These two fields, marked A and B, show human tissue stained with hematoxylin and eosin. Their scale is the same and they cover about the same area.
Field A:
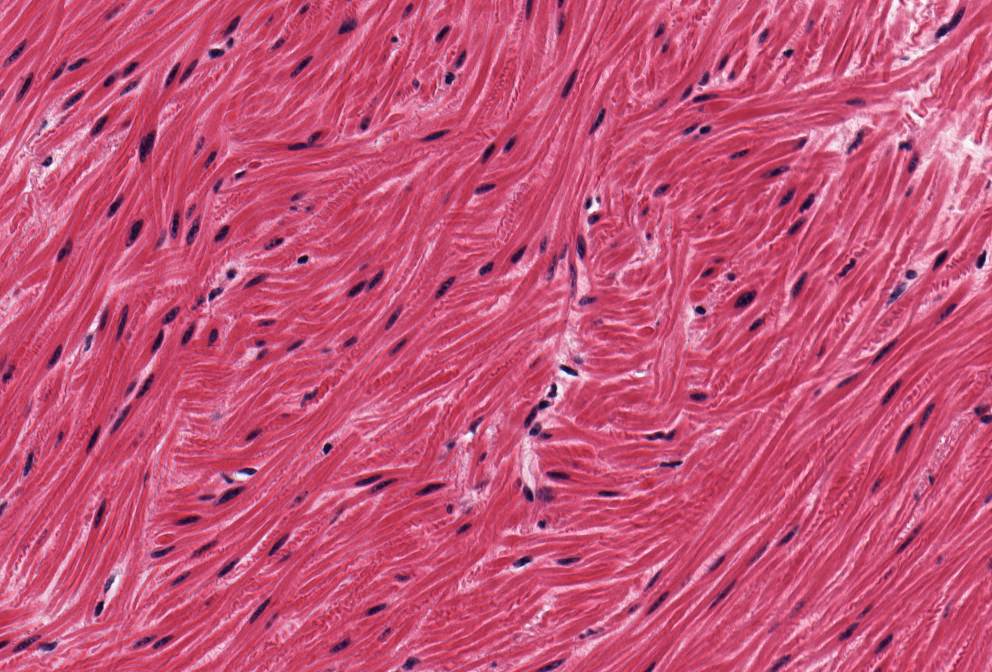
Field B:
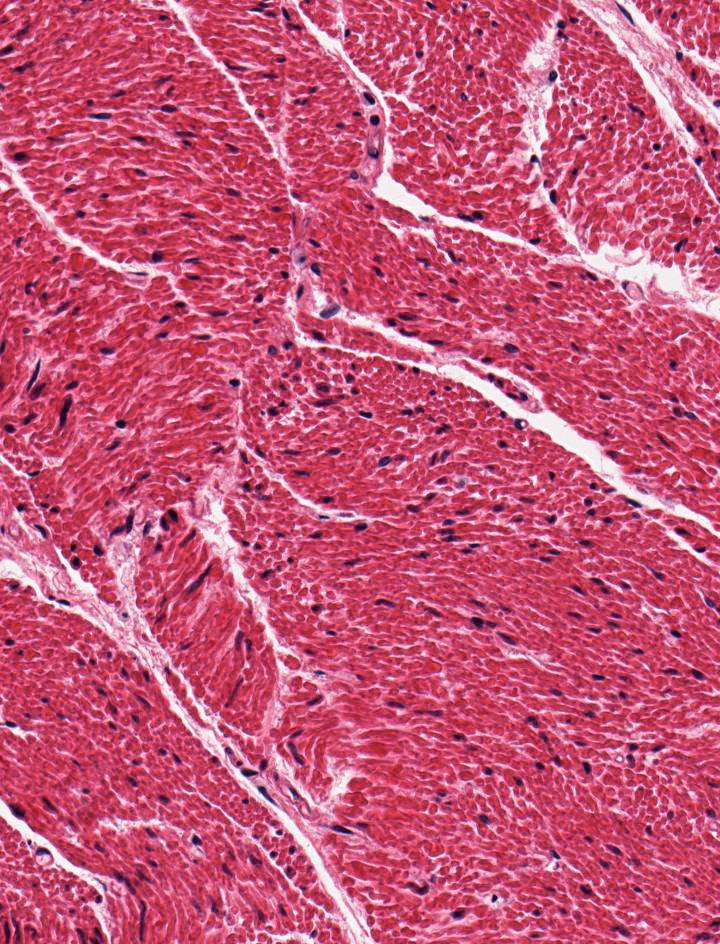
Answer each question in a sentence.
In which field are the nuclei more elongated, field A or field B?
The nuclei are more elongated in field A.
